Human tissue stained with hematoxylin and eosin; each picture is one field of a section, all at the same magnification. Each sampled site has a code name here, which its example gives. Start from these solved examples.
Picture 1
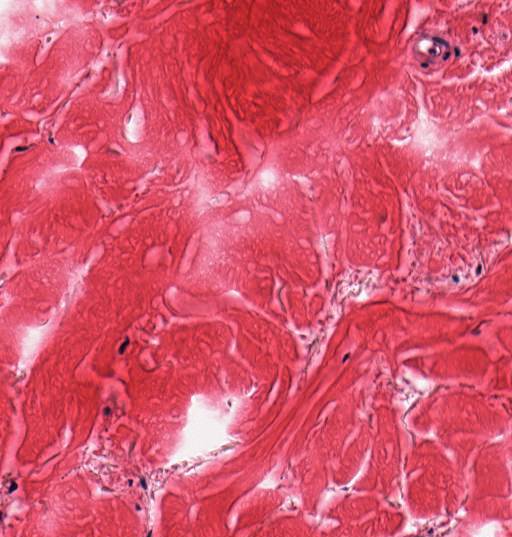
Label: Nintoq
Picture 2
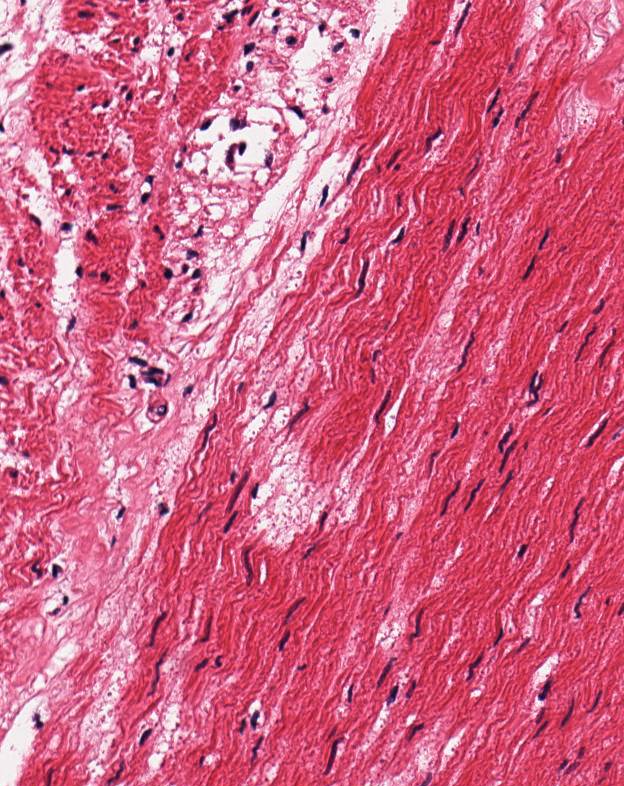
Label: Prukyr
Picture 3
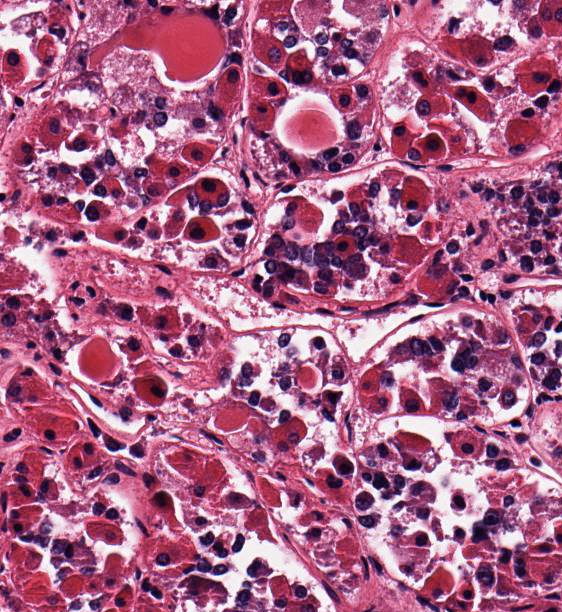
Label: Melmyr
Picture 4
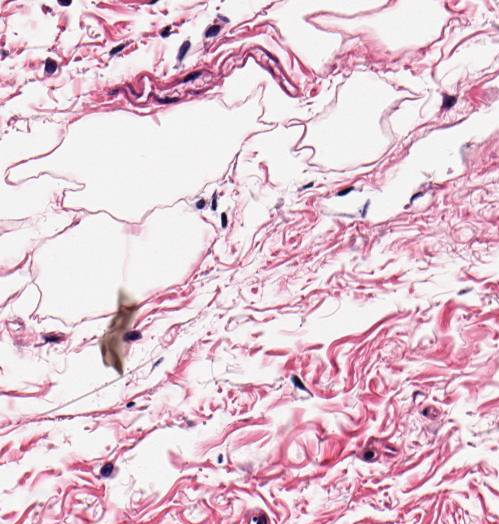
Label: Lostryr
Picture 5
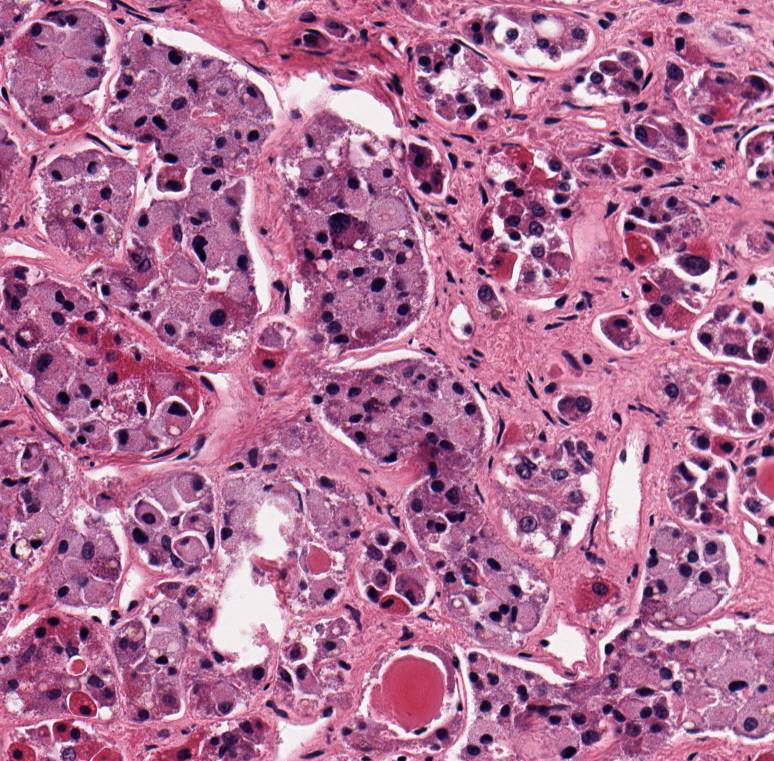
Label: Melmyr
